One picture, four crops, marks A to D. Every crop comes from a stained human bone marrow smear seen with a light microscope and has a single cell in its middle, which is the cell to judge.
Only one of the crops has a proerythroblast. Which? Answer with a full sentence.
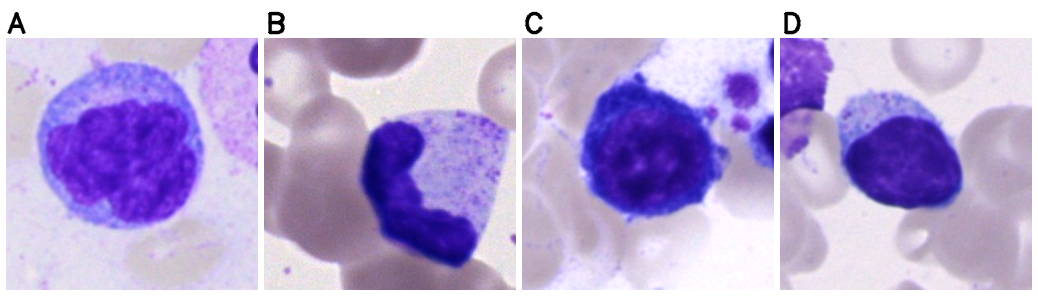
Among the crops given, only crop C shows a proerythroblast.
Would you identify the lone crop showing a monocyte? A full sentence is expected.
Crop A is the crop featuring a monocyte at its center.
